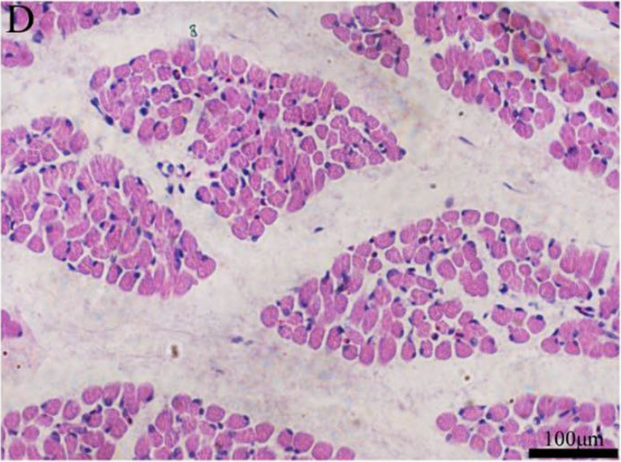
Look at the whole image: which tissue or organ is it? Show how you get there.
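Muscle. Closely packed rounded pink fibre profiles grouped into bundles. Bundles separated by pale loose connective tissue. Dark nuclei at the edges of fibres.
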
